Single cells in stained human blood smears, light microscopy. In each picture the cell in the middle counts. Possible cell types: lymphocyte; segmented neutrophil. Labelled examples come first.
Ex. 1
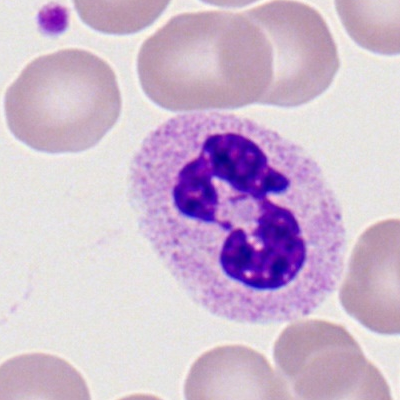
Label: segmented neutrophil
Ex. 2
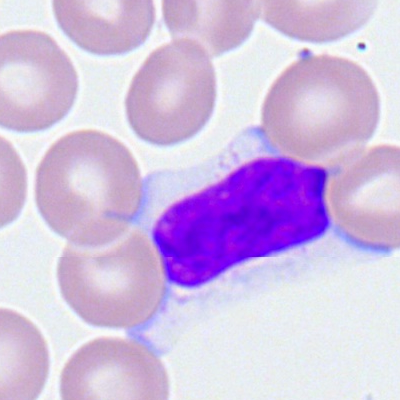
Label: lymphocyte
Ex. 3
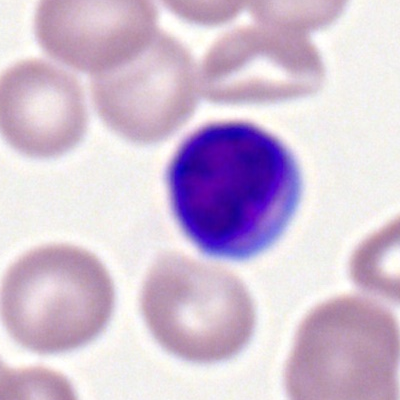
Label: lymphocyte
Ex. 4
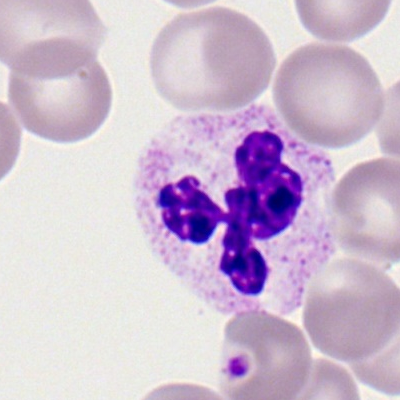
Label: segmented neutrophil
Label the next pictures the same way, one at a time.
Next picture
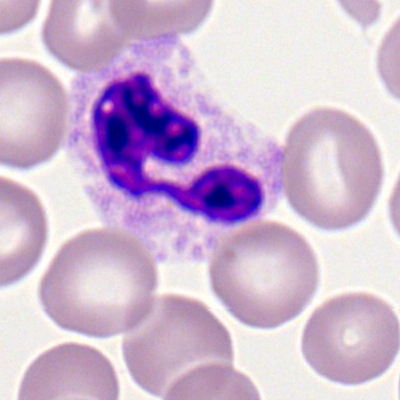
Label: segmented neutrophil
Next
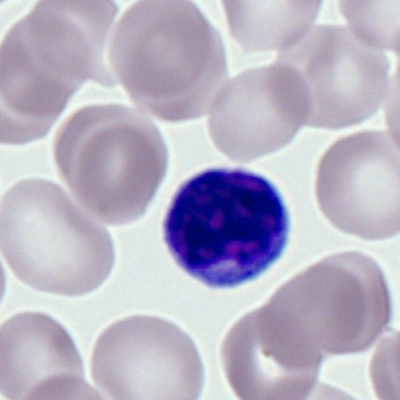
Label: lymphocyte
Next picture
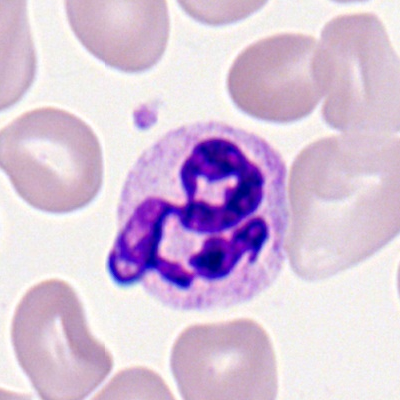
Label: segmented neutrophil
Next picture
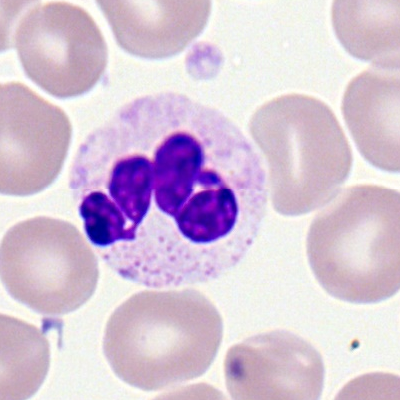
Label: segmented neutrophil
